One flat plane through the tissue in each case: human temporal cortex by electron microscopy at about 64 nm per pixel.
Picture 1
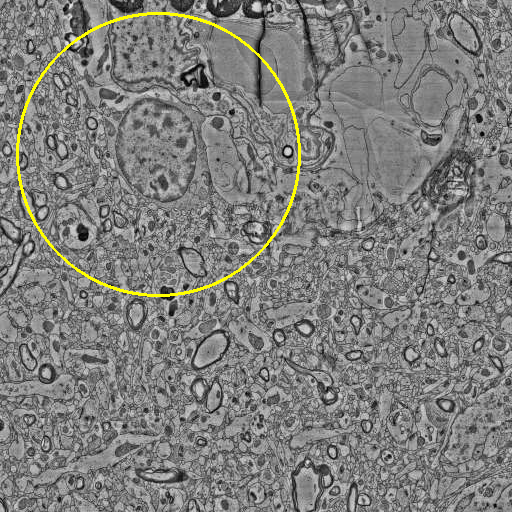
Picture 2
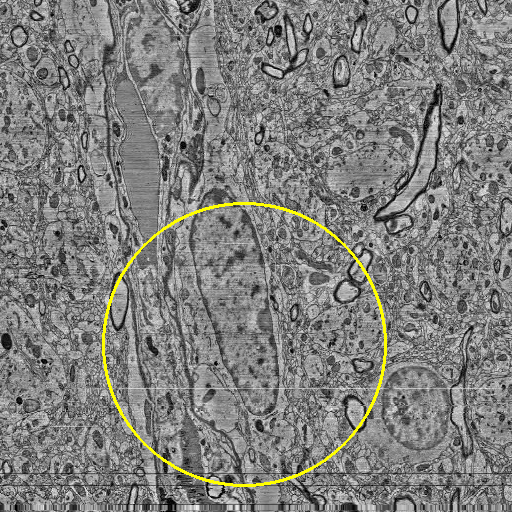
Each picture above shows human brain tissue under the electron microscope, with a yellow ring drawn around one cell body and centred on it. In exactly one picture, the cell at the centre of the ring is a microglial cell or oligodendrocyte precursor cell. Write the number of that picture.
2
